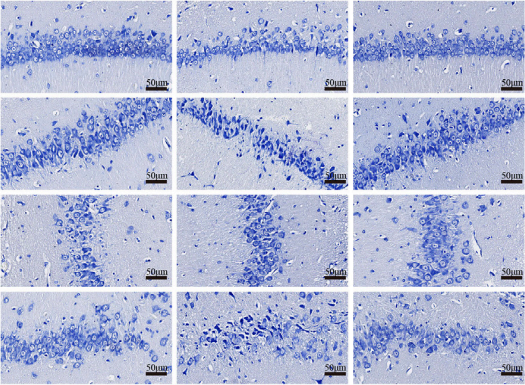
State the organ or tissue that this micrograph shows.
Hippocampus.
